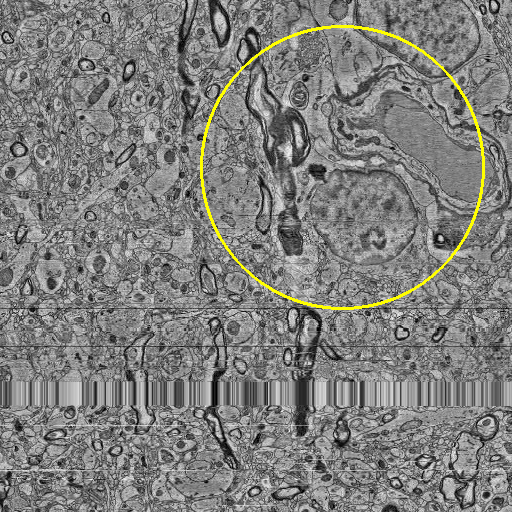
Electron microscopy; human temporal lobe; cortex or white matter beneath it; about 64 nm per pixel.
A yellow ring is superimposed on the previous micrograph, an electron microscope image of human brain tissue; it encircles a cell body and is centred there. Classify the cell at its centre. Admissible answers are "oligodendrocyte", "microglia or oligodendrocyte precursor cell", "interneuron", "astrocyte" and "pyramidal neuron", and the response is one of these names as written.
oligodendrocyte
